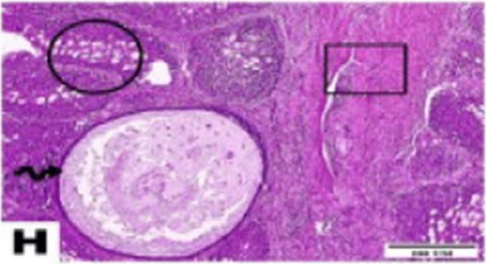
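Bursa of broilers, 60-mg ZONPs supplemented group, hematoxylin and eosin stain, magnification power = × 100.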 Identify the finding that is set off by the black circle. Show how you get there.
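Vacuolation. The circle encloses many clear empty spaces within a follicle. The spaces interrupt the purple cell mass.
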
